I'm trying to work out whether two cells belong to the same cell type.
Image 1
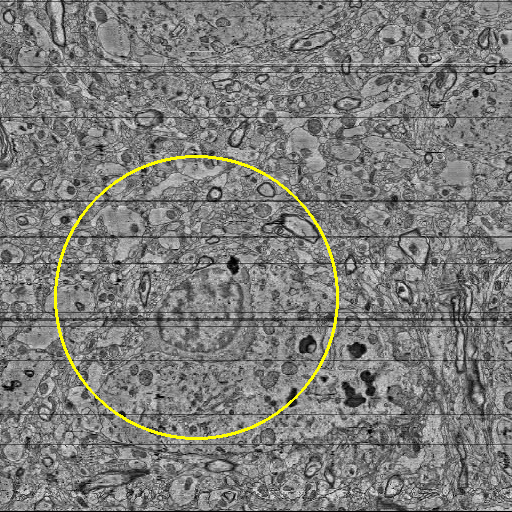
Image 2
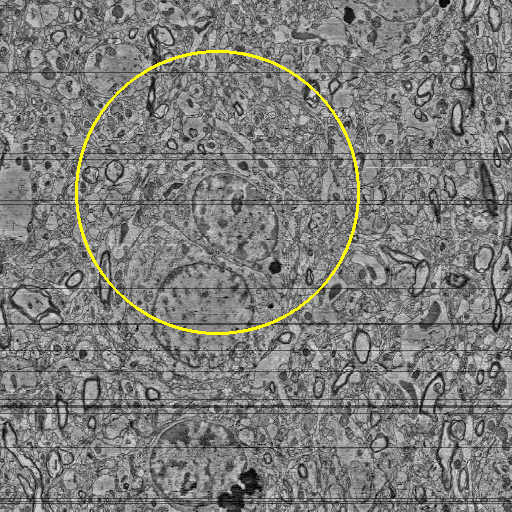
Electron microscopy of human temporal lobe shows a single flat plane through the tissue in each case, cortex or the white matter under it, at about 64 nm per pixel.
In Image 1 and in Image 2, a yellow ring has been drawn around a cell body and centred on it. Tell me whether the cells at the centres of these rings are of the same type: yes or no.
yes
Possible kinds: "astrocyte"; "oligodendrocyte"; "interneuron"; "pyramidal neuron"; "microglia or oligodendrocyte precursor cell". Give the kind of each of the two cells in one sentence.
Both pictures show an oligodendrocyte at the centre of the ring.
